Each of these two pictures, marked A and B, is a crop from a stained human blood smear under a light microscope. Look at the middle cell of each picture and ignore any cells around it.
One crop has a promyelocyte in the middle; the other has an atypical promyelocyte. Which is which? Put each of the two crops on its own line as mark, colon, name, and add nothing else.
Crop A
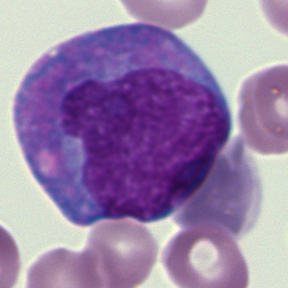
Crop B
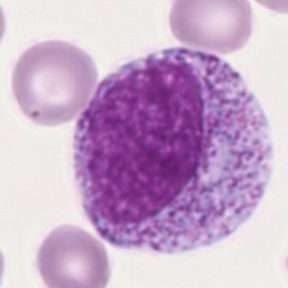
A: atypical promyelocyte
B: promyelocyte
